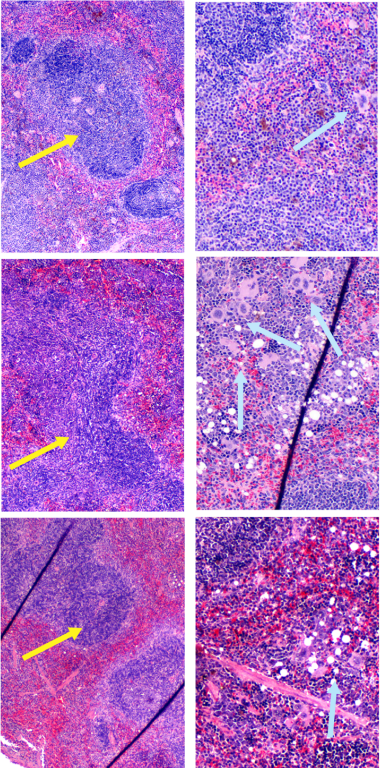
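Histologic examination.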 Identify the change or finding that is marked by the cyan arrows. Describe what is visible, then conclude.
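Extramedullary hematopoiesis. The cyan arrows point to very large cells with abundant pink cytoplasm and large irregular nuclei. These large cells lie scattered among small round blood-forming cells in the red pulp.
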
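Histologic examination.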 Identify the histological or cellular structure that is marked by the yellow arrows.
white pulp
